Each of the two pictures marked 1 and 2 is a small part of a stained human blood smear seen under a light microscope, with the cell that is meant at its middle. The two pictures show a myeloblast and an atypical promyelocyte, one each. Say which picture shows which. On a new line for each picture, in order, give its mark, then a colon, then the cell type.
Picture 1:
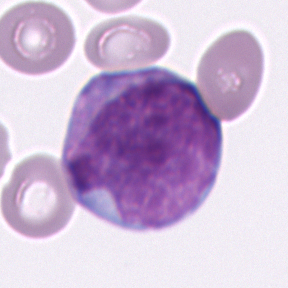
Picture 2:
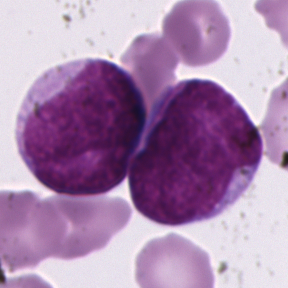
1: atypical promyelocyte
2: myeloblast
